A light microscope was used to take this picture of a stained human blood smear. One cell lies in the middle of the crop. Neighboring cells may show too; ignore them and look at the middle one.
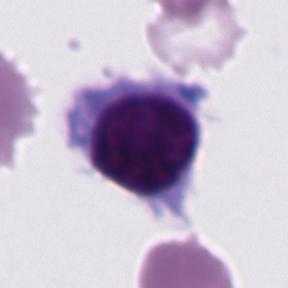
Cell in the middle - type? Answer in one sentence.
Centred in the crop is a hairy cell.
